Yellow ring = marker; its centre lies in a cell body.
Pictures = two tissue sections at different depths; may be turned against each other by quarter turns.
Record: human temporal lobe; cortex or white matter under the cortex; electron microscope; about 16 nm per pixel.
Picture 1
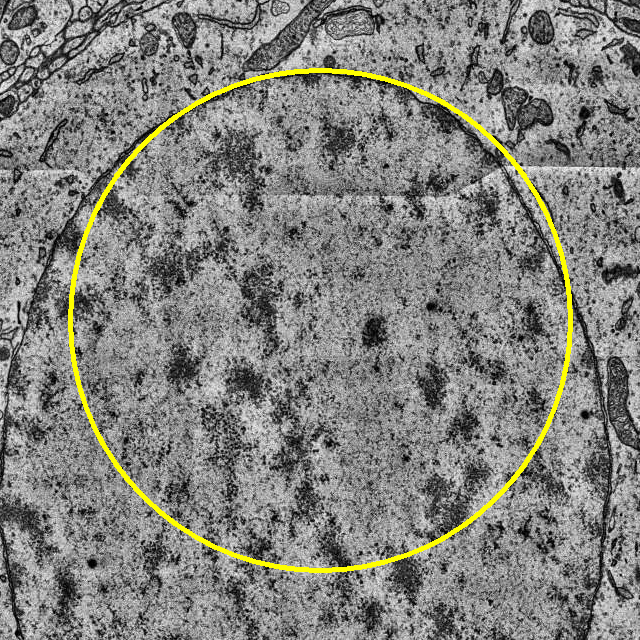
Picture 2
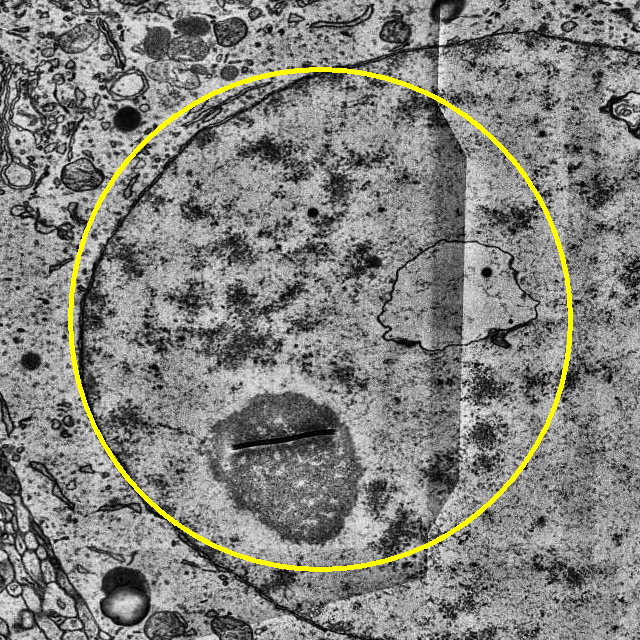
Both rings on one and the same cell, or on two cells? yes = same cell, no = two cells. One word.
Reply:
yes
